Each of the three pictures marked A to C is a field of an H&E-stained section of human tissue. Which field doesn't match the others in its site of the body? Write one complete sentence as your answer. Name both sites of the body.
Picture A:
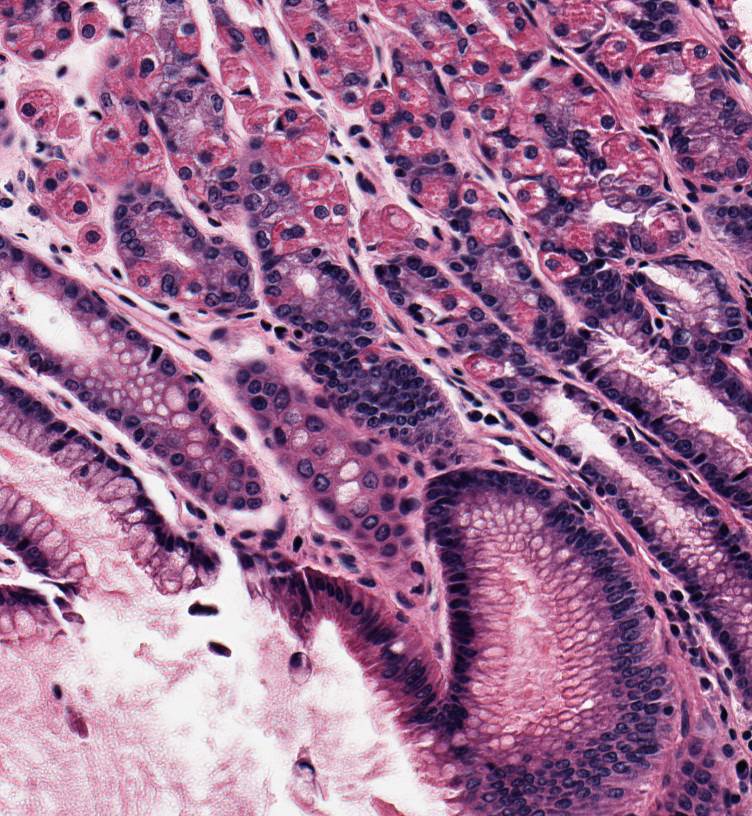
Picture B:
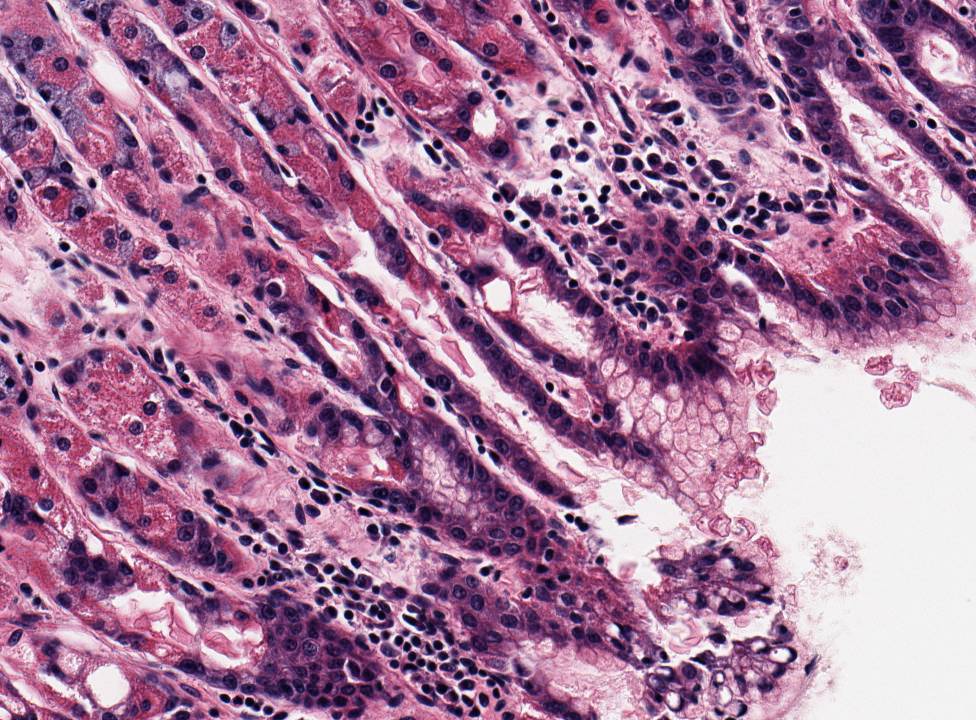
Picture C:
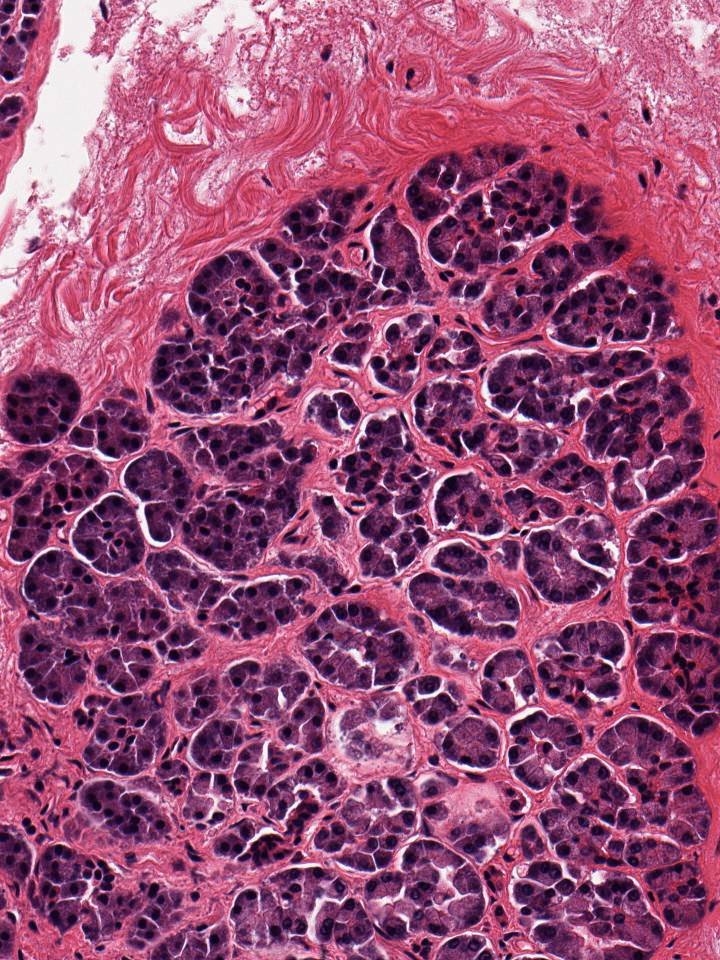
All pictures except C come from the stomach; picture C comes from the pancreas.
